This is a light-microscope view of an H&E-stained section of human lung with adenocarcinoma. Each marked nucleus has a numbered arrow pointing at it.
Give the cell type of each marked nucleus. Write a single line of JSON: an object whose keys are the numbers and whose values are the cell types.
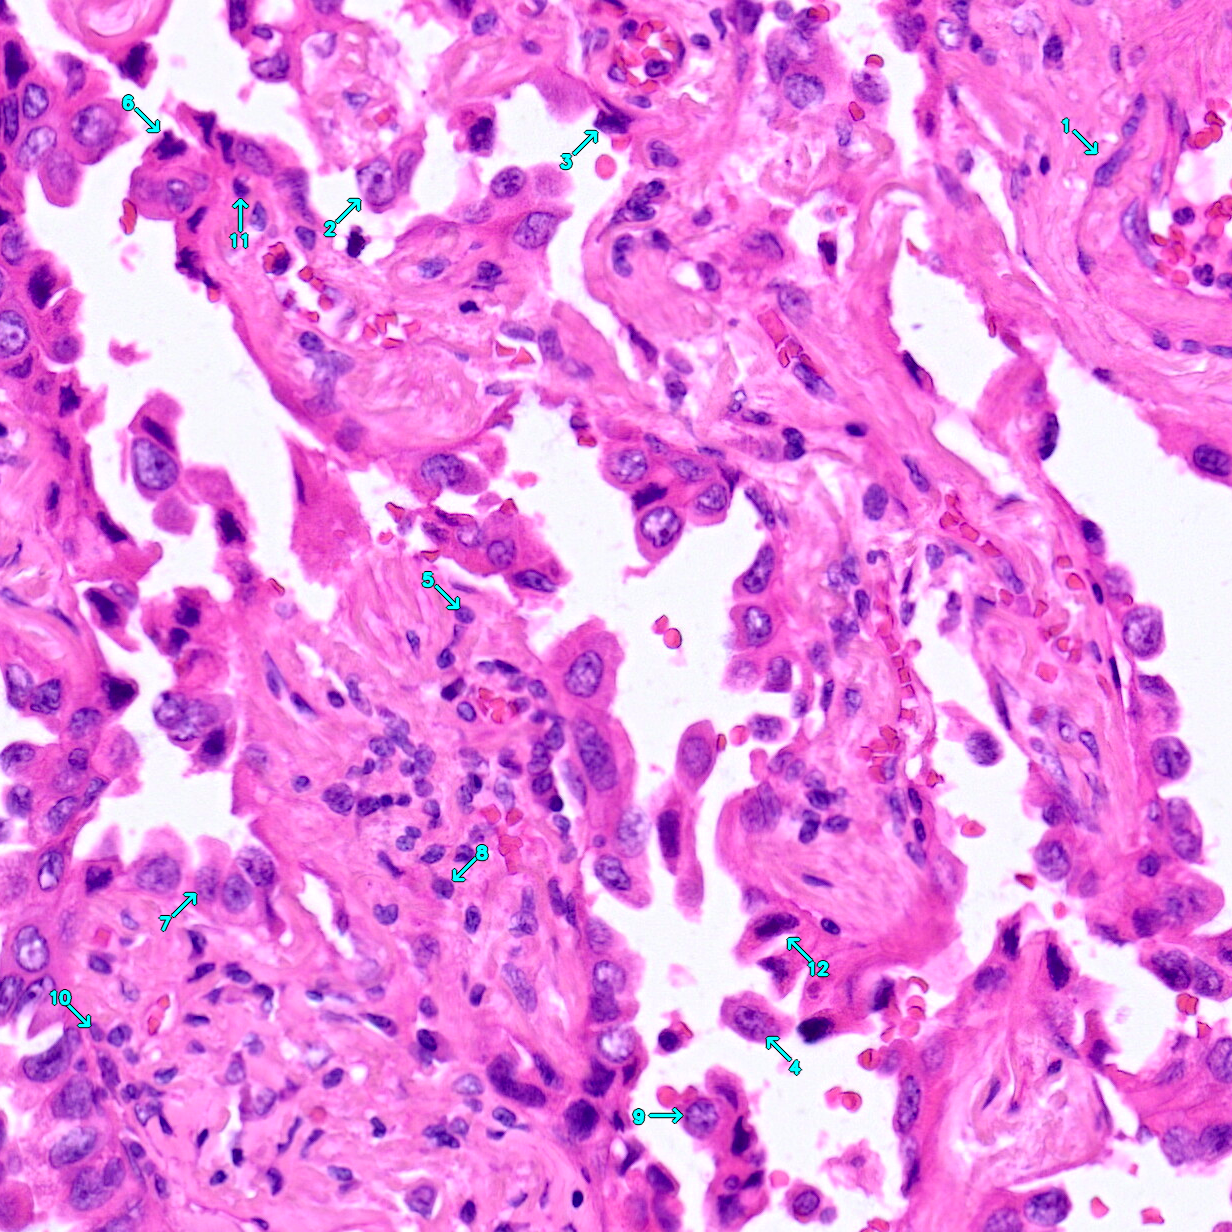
{"1": "smooth muscle cell or pericyte", "2": "carcinoma cell", "3": "carcinoma cell", "4": "carcinoma cell", "5": "lymphocyte", "6": "carcinoma cell", "7": "carcinoma cell", "8": "lymphocyte", "9": "carcinoma cell", "10": "lymphocyte", "11": "lymphocyte", "12": "carcinoma cell"}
